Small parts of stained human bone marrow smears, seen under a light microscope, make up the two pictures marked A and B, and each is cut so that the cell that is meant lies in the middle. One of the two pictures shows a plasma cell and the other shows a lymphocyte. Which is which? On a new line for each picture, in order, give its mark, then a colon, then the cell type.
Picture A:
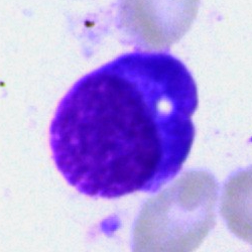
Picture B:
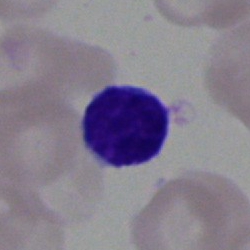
A: plasma cell
B: lymphocyte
